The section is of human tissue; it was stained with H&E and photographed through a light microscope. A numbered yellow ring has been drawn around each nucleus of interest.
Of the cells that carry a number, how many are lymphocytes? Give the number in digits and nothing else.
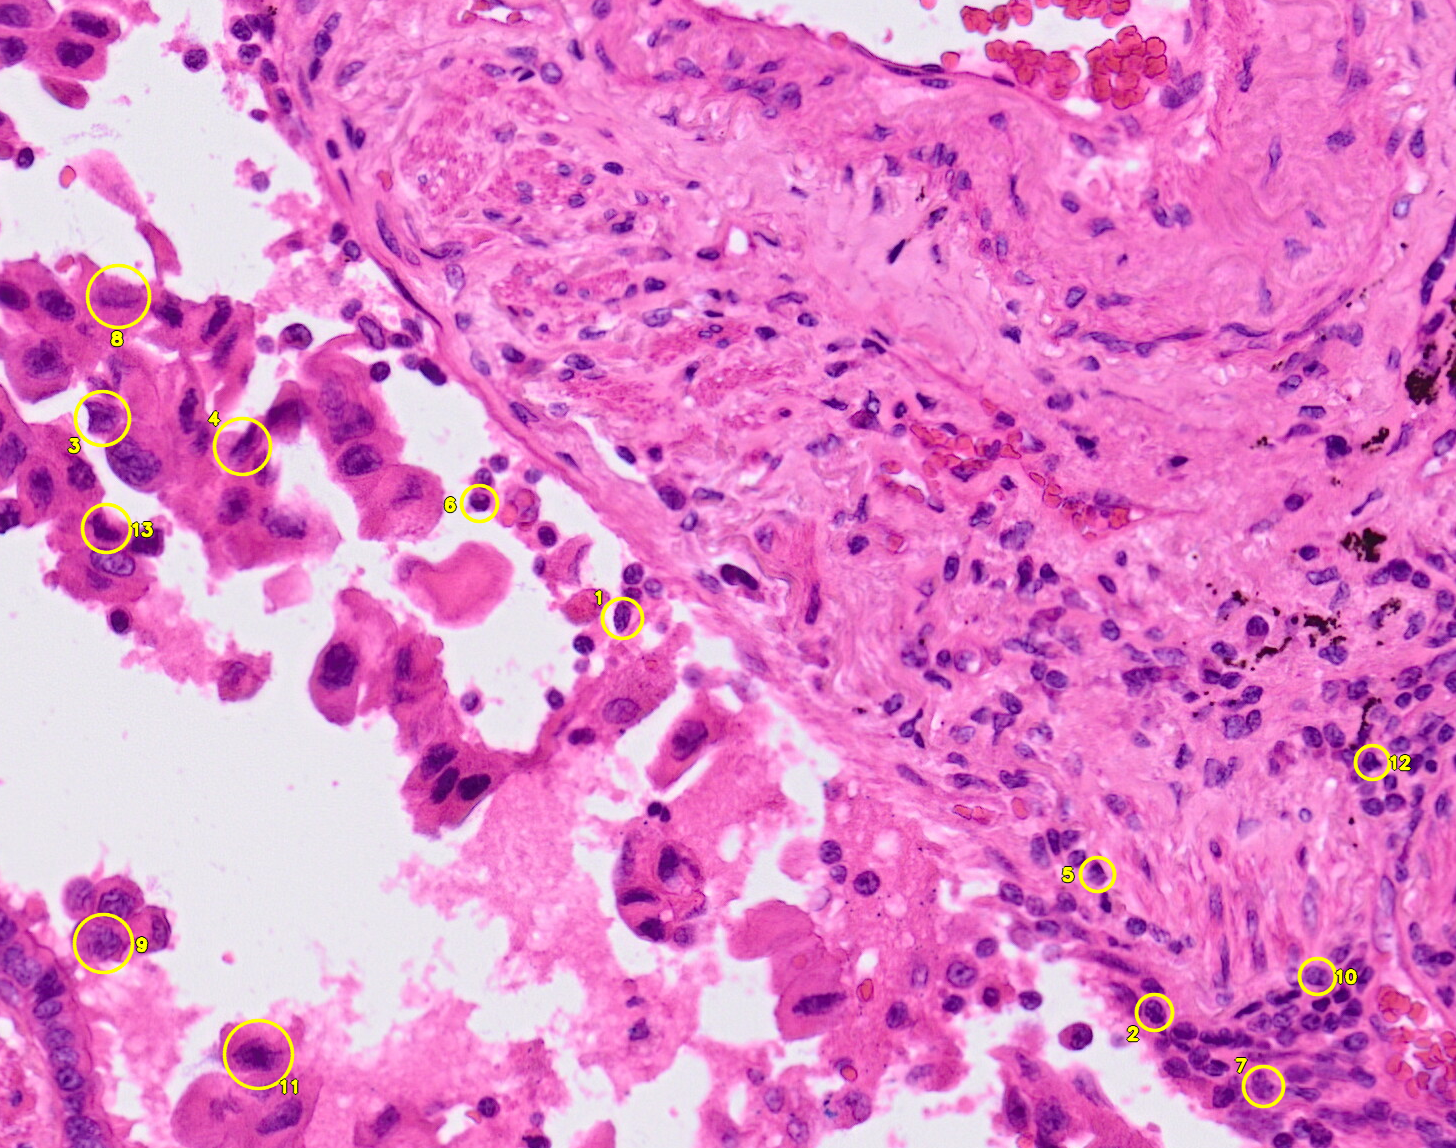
7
